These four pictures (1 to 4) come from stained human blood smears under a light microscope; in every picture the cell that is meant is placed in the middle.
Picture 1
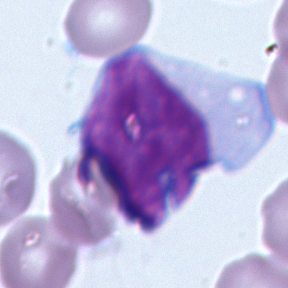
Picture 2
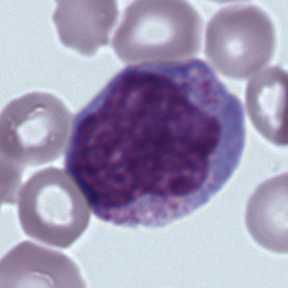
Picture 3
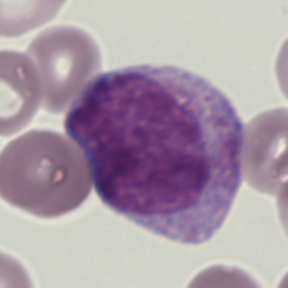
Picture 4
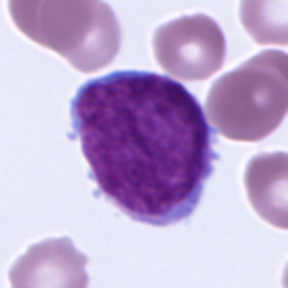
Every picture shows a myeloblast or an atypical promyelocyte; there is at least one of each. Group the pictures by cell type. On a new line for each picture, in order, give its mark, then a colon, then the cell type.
1: myeloblast
2: atypical promyelocyte
3: atypical promyelocyte
4: atypical promyelocyte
